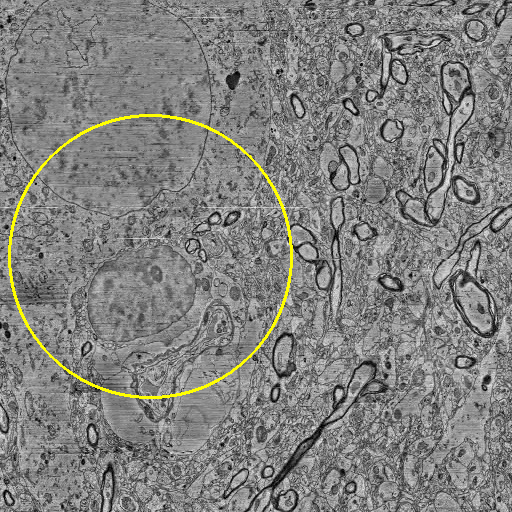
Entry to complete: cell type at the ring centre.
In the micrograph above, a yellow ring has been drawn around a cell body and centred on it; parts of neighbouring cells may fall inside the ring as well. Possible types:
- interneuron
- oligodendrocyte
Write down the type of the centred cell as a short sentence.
The ring is centred on an oligodendrocyte.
